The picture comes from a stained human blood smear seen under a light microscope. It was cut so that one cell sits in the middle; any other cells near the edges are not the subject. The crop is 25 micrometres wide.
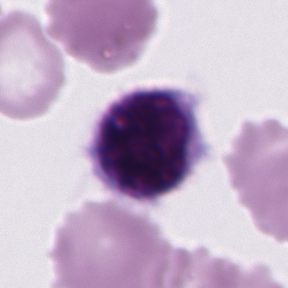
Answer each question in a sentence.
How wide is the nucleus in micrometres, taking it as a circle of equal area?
The nucleus is about 8 micrometres across.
